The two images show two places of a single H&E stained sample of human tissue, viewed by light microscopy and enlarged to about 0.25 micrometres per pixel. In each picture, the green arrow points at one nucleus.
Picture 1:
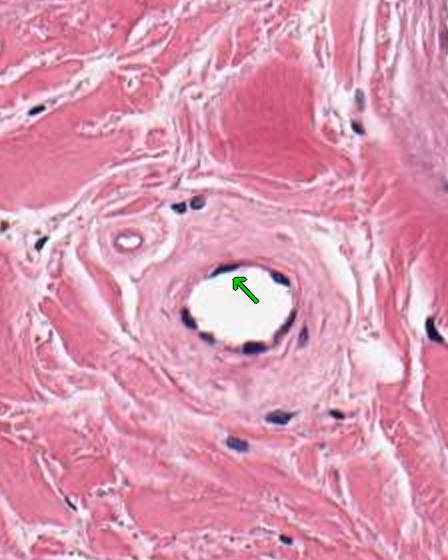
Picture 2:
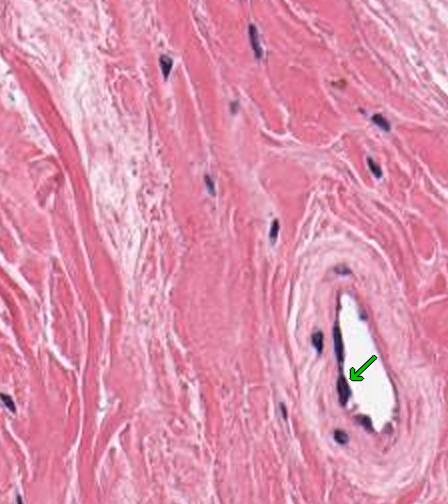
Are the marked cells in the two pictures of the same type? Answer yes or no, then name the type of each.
Yes, both are endothelial cells.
